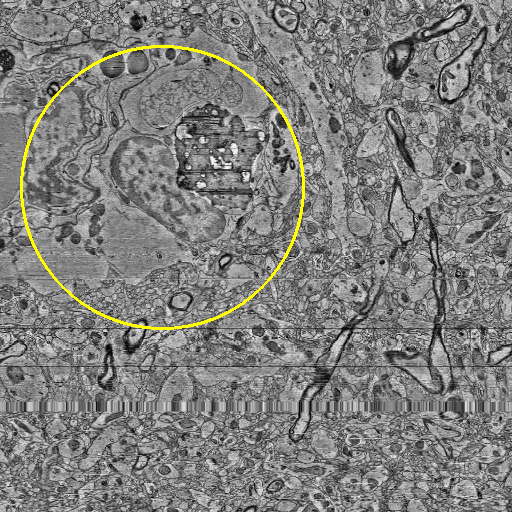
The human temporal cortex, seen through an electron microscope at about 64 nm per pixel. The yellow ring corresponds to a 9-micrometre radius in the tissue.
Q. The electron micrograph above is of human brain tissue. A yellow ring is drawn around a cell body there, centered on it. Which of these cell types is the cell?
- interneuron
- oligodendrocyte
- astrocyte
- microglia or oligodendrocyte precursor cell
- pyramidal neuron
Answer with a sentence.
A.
The cell under the ring's center is a microglial cell or oligodendrocyte precursor cell.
